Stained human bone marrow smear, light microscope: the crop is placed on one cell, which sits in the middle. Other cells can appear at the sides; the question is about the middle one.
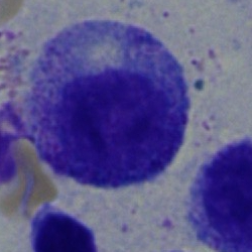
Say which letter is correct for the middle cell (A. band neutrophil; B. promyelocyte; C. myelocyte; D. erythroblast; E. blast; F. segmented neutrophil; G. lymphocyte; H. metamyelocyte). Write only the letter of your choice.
C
